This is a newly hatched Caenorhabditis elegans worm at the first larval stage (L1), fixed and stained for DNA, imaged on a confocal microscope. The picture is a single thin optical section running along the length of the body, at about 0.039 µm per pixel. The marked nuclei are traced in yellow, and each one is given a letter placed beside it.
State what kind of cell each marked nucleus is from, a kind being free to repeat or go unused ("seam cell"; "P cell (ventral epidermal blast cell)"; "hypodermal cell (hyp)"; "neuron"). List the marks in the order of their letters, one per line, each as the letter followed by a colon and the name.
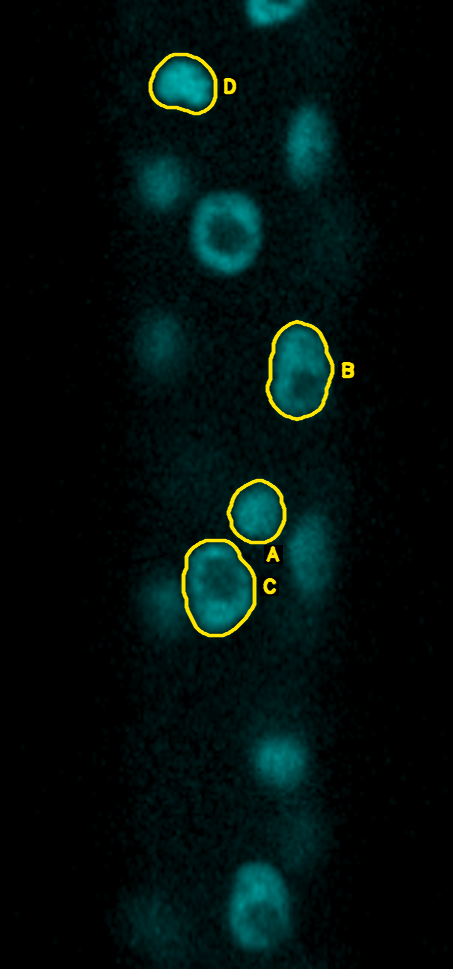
A: neuron
B: seam cell
C: hypodermal cell (hyp)
D: neuron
